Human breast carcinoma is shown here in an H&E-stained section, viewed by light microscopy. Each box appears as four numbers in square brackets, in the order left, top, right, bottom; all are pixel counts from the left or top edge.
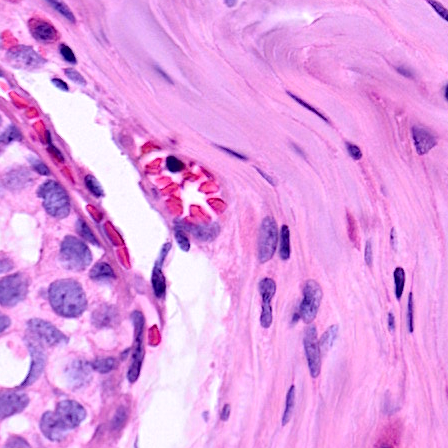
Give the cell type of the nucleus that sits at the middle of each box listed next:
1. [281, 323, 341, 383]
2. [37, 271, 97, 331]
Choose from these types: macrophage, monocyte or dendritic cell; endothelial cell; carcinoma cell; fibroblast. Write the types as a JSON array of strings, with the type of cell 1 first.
["fibroblast", "carcinoma cell"]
